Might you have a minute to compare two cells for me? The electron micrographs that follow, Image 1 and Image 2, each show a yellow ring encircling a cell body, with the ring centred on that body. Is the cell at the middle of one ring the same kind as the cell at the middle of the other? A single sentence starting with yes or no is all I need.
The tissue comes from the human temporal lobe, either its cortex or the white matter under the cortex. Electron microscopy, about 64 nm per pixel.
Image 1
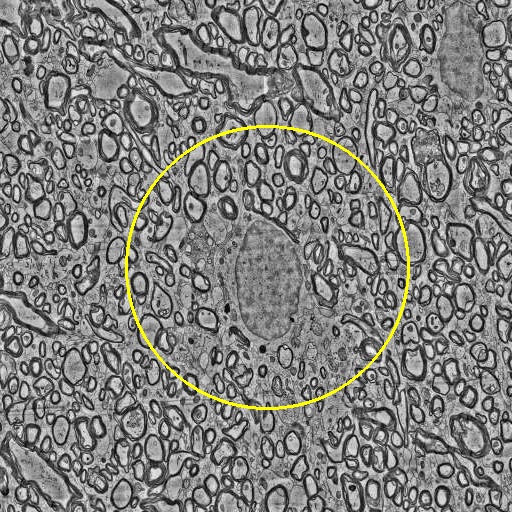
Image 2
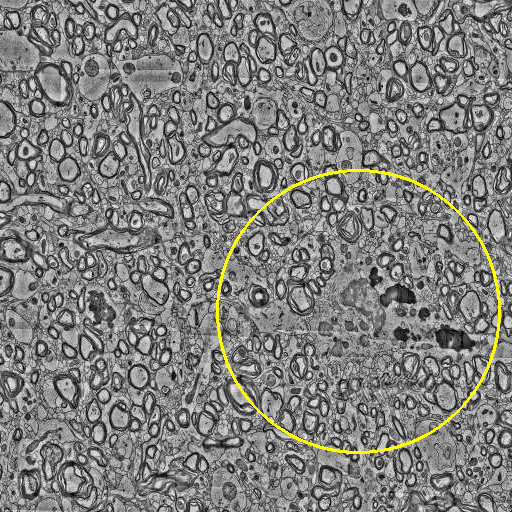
Yes, the cells in the middle of the two rings are of one shared kind.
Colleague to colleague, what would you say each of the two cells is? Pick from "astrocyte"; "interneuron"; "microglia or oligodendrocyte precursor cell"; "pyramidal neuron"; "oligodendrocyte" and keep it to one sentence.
Each cell, in the first picture and the second, is an oligodendrocyte.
